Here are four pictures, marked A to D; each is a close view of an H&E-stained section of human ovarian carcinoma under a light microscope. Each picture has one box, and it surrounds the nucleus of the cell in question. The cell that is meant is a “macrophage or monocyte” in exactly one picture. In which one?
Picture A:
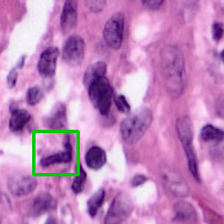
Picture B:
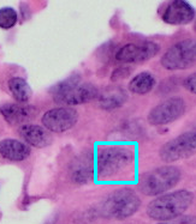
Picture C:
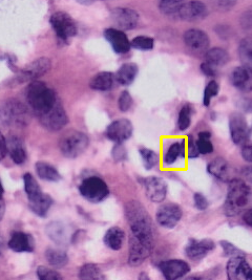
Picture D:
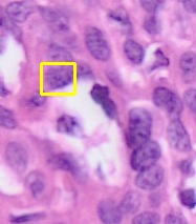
A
